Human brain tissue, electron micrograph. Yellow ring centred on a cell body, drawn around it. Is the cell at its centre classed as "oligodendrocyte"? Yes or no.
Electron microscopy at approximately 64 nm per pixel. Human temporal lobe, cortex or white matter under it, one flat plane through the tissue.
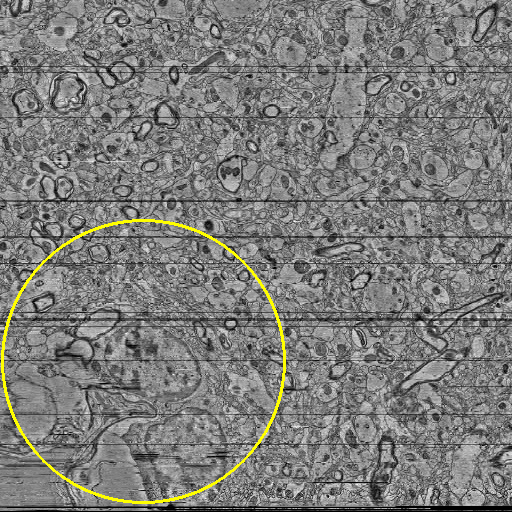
Yes, it is classed as that.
